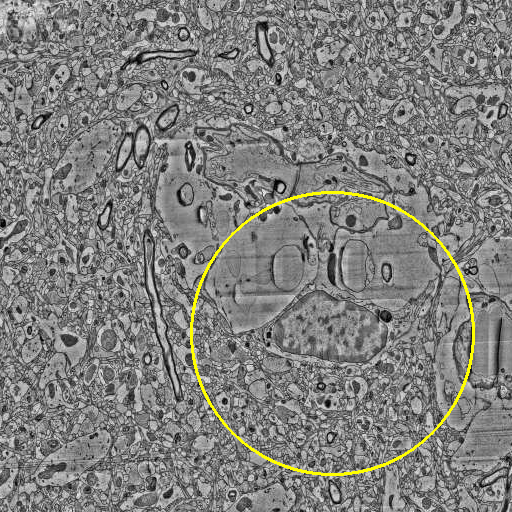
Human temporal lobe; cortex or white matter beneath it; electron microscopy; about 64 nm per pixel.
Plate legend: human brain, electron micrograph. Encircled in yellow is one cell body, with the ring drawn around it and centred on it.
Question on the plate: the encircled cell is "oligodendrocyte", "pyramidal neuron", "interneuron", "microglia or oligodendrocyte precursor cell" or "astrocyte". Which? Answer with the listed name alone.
microglia or oligodendrocyte precursor cell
